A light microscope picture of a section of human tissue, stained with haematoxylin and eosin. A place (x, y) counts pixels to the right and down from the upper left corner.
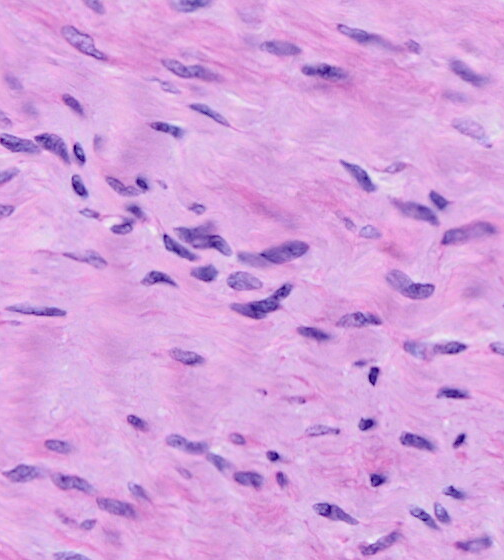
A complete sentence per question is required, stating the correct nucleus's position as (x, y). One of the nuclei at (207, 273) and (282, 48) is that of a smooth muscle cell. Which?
Of the two nuclei present, the one at (282, 48) is within a smooth muscle cell.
